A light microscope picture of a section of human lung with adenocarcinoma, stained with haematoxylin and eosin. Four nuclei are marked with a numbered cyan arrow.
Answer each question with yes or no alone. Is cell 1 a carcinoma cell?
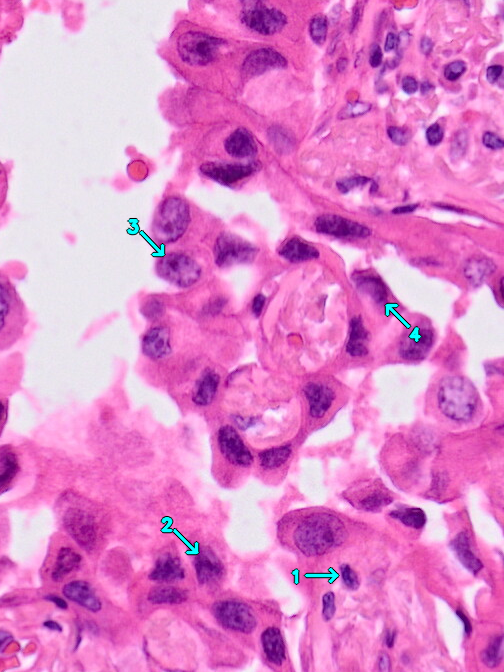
no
